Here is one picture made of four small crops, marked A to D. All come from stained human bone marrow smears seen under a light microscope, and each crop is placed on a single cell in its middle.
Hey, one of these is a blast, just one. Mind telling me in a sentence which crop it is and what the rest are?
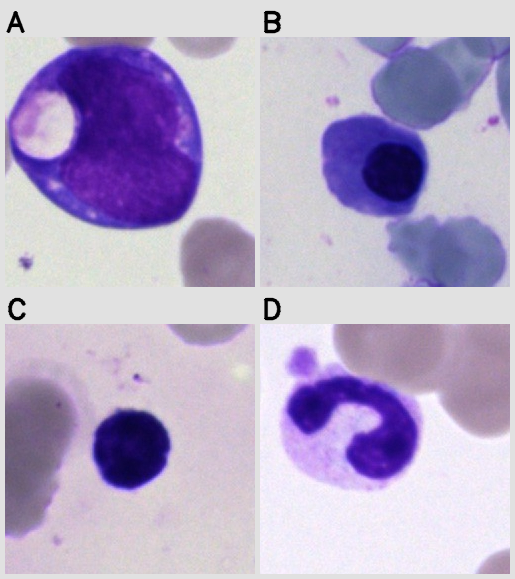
Crop A shows a blast in its middle, while crop B is an erythroblast, crop C is a lymphocyte and crop D is a band neutrophil.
